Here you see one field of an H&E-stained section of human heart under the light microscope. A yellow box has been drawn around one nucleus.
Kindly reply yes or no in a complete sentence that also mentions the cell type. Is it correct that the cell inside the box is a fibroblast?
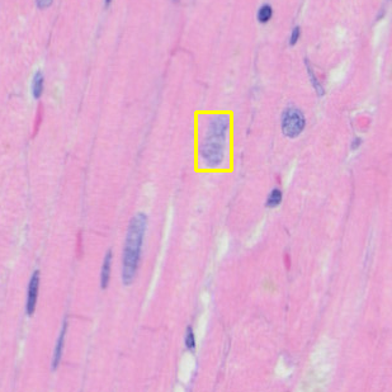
No, the cell inside the box is correctly named a cardiomyocyte; it is not a fibroblast.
